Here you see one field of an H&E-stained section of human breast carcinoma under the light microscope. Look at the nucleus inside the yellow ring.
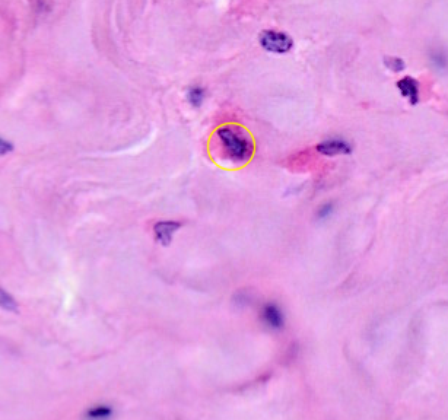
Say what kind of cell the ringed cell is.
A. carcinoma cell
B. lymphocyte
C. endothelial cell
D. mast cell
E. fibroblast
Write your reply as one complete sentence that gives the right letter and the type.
In keeping with option D, the ringed cell is a mast cell.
